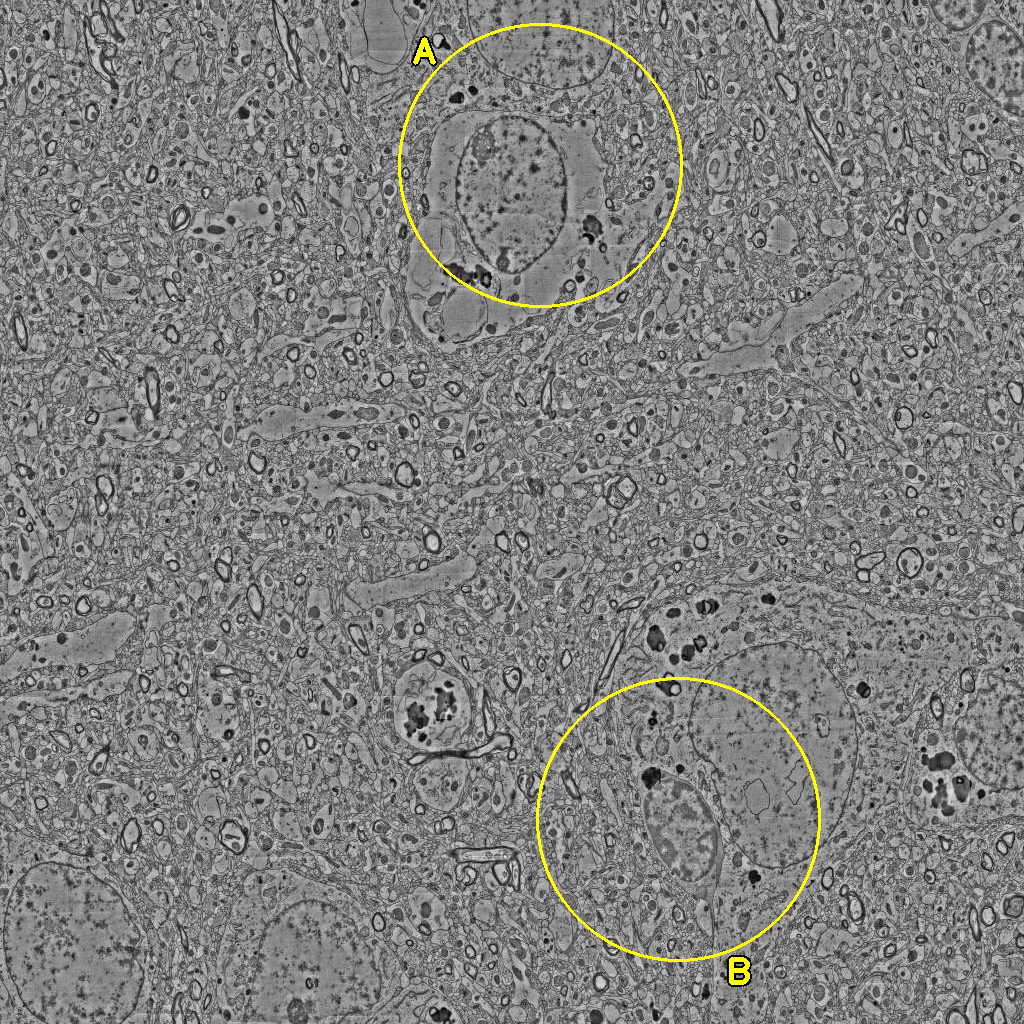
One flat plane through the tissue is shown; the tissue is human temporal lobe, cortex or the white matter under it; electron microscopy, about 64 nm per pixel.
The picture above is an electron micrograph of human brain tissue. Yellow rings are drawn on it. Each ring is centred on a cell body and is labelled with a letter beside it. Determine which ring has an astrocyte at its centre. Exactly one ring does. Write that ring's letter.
A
